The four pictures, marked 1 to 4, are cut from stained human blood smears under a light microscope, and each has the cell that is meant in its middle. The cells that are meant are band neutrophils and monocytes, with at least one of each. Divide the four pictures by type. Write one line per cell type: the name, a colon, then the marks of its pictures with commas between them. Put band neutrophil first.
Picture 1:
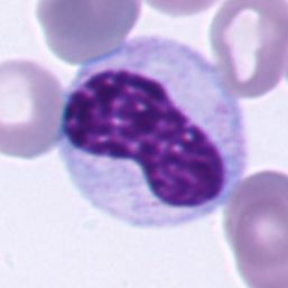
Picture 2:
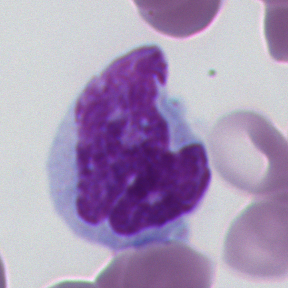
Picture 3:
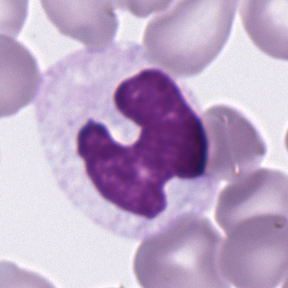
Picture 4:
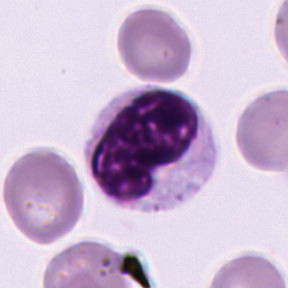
band neutrophil: 1, 3, 4
monocyte: 2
